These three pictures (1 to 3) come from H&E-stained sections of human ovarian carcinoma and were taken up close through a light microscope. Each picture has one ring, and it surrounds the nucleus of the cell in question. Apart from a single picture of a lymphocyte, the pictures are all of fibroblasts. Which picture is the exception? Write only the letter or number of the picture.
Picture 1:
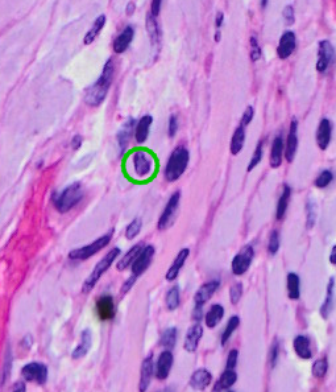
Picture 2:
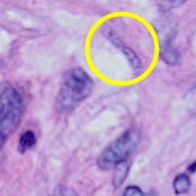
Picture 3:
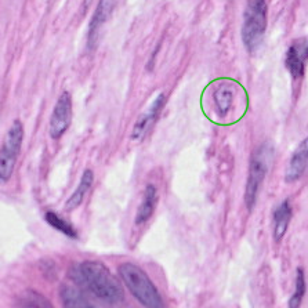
1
